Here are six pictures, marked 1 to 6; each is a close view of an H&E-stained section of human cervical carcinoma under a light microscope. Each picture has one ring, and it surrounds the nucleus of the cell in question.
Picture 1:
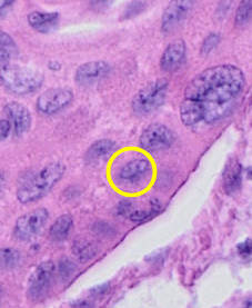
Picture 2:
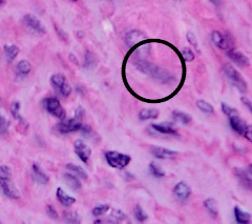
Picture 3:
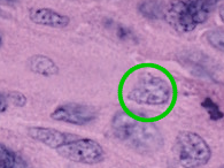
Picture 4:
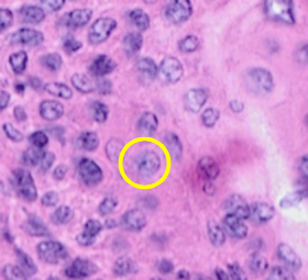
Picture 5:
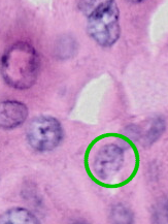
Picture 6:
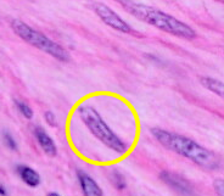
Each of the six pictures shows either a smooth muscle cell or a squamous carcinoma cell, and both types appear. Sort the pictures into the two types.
1: squamous carcinoma cell
2: smooth muscle cell
3: squamous carcinoma cell
4: squamous carcinoma cell
5: squamous carcinoma cell
6: smooth muscle cell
